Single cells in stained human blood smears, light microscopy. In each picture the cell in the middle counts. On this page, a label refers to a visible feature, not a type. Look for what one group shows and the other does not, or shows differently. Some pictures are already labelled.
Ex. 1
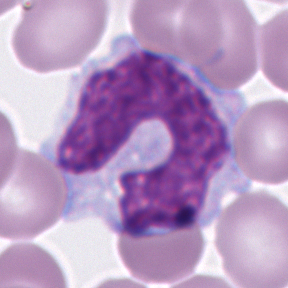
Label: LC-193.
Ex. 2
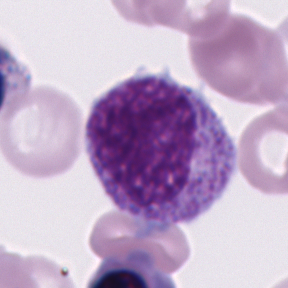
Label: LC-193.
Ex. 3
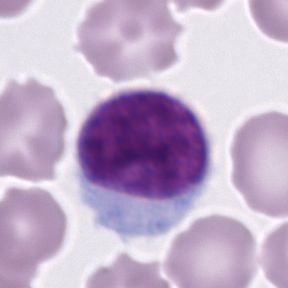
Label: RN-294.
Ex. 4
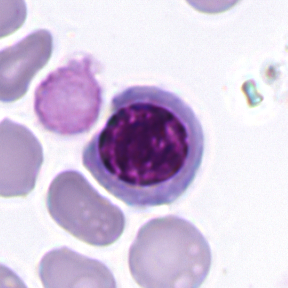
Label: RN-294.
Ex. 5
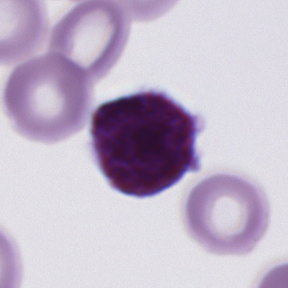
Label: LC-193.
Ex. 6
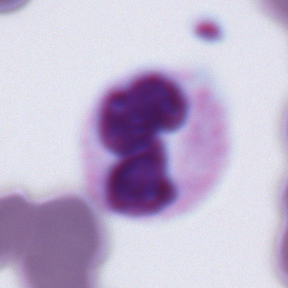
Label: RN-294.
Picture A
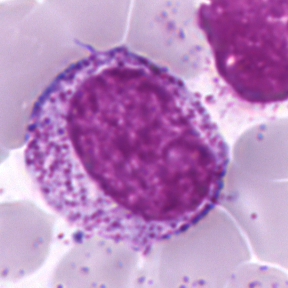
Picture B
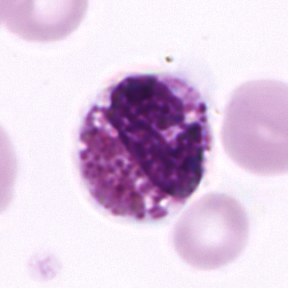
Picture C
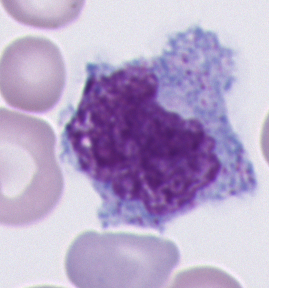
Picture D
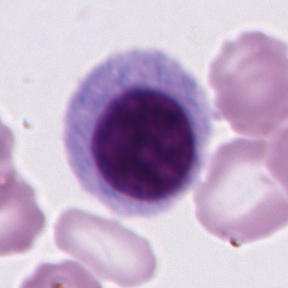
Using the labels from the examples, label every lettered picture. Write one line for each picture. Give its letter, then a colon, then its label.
A: LC-193.
B: RN-294.
C: LC-193.
D: RN-294.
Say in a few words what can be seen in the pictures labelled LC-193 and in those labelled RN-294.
In LC-193: ragged outline or projections. In RN-294: smooth outline.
